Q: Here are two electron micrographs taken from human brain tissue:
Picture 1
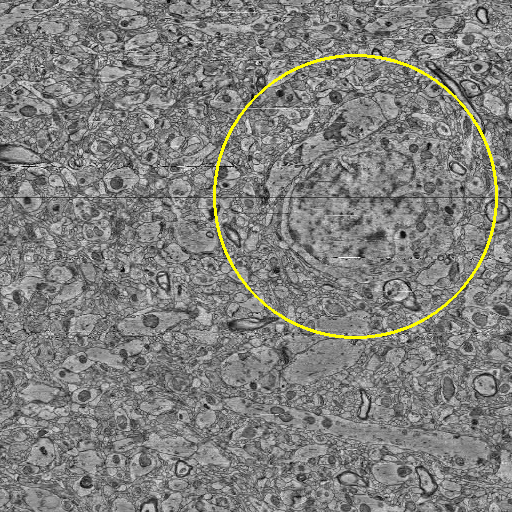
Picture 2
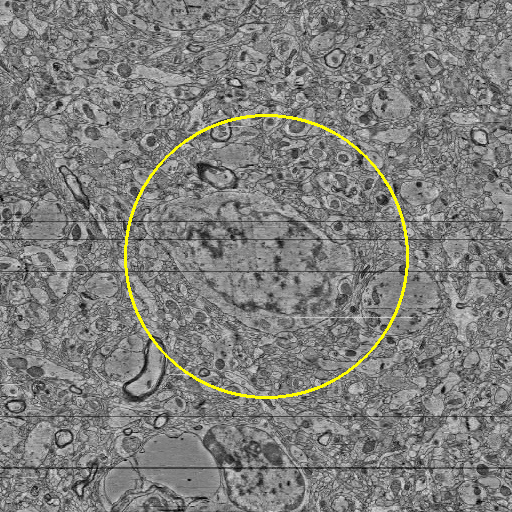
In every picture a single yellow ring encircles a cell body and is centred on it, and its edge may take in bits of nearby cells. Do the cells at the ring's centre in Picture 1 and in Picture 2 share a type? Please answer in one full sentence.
Yes, the cells at the ring's centre in Picture 1 and Picture 2 share a type.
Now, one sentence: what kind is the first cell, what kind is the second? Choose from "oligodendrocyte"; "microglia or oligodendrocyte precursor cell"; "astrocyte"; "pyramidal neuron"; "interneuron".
The ring centre holds an interneuron in each of the two pictures.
